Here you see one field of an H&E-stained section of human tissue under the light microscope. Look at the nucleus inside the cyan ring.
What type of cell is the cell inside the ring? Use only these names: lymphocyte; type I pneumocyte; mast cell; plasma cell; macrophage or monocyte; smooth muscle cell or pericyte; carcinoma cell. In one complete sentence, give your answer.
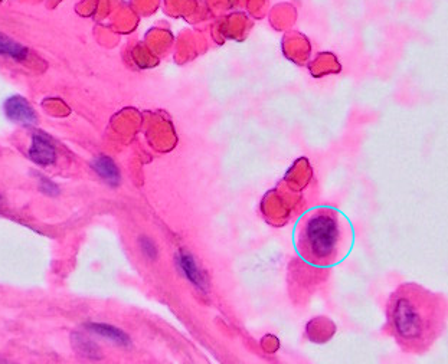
In the tissue under study, the cell inside the ring is a macrophage or monocyte.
